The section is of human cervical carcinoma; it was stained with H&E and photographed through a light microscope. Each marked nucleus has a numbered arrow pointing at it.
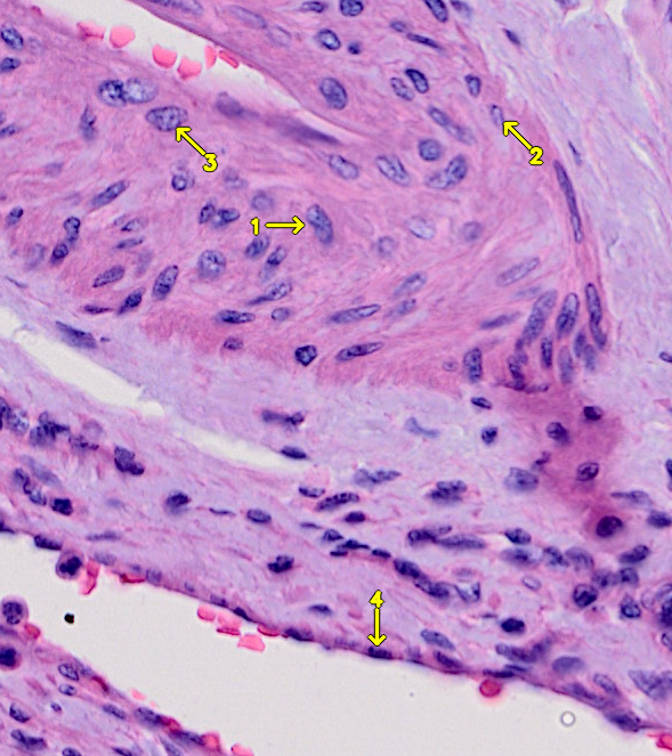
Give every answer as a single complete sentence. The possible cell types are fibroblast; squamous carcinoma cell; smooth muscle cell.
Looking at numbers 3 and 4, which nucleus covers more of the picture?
Nucleus 3 is the larger one, covering about 3 times the area of nucleus 4.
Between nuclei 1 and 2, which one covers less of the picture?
Number 2 is smaller, since number 1 takes up about 2.5 times as much area.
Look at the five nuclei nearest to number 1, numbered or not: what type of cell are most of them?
Smooth muscle cells make up most of the five nuclei closest to number 1.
